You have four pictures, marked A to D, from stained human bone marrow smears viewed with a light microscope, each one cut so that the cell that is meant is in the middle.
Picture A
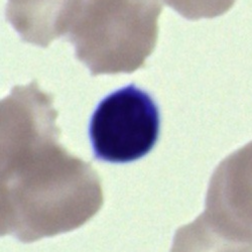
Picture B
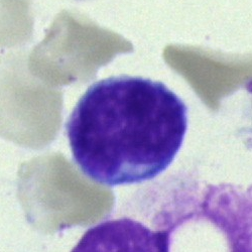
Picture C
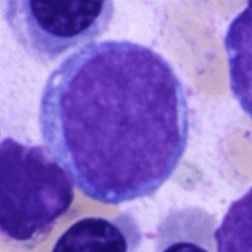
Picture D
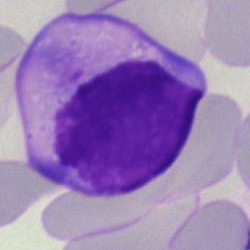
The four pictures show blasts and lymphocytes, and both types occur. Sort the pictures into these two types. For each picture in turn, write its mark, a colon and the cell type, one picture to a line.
A: lymphocyte
B: blast
C: blast
D: blast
